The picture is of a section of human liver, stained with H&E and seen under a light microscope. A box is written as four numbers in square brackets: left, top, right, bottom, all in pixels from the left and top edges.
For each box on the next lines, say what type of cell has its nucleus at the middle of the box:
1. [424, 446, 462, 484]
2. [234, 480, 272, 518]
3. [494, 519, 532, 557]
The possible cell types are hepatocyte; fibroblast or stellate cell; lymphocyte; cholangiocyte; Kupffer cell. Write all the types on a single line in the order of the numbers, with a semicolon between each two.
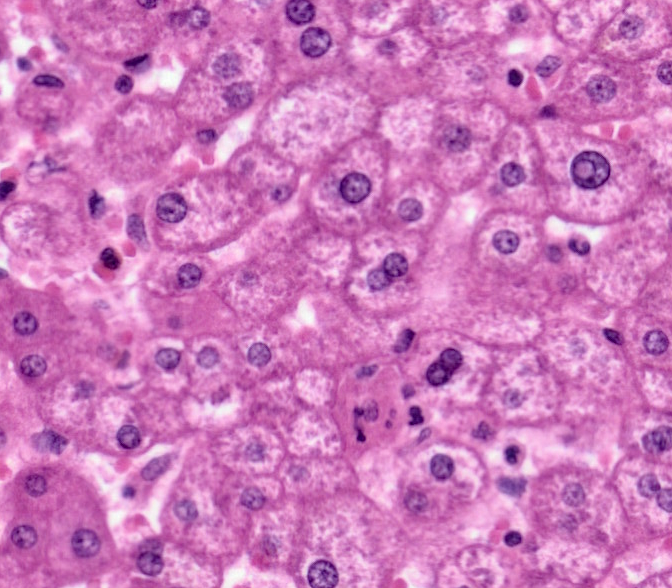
hepatocyte; hepatocyte; lymphocyte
